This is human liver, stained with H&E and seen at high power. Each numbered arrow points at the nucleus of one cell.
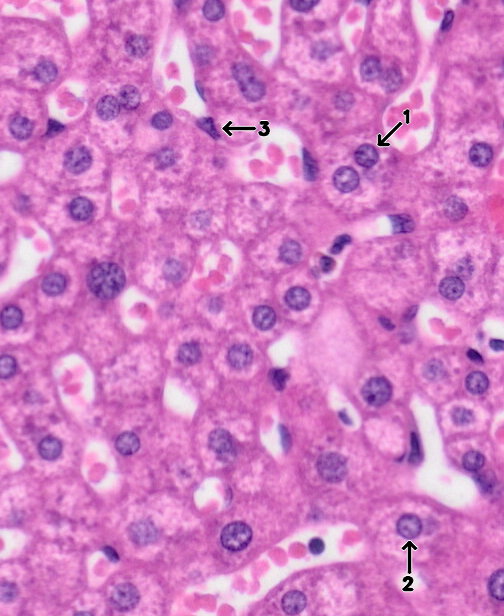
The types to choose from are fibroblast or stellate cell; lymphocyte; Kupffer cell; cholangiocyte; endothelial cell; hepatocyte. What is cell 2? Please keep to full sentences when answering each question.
The cell that is numbered 2 is a hepatocyte.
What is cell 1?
The cell that carries the label 1 is a hepatocyte.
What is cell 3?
Cell 3, among those numbered, is a fibroblast or stellate cell.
